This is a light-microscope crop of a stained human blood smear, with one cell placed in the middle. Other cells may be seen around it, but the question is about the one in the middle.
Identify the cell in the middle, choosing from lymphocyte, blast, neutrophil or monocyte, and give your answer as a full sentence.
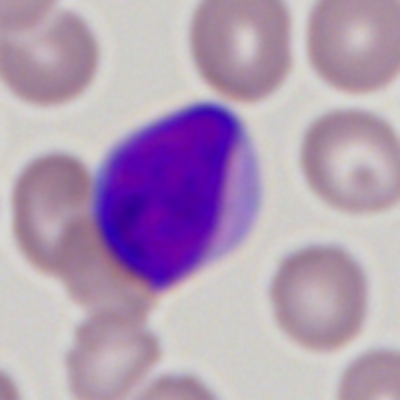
Occupying the centre of the crop is a blast.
